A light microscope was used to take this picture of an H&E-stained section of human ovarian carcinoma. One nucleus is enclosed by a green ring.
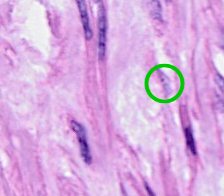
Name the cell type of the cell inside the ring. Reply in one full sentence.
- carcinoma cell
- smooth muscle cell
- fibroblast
Cytologically, the cell inside the ring is to be regarded as a fibroblast.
